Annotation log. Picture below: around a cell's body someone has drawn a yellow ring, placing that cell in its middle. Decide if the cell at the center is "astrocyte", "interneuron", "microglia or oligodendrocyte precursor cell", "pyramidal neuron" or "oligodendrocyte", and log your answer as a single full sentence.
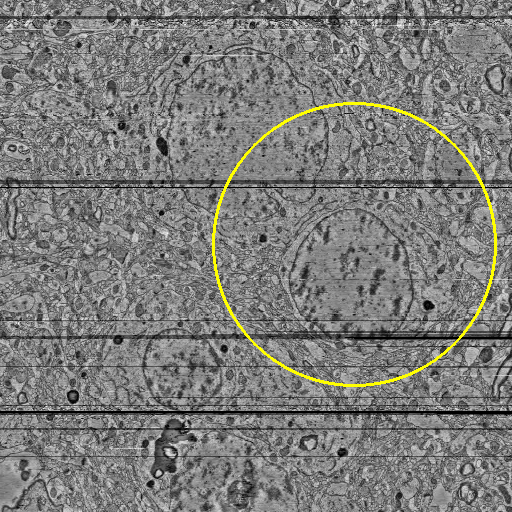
My entry records a pyramidal neuron as the cell sitting at the center of the yellow ring.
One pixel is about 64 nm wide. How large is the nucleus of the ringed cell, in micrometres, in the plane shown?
In this plane the ringed cell's nucleus is roughly 8 micrometres across.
